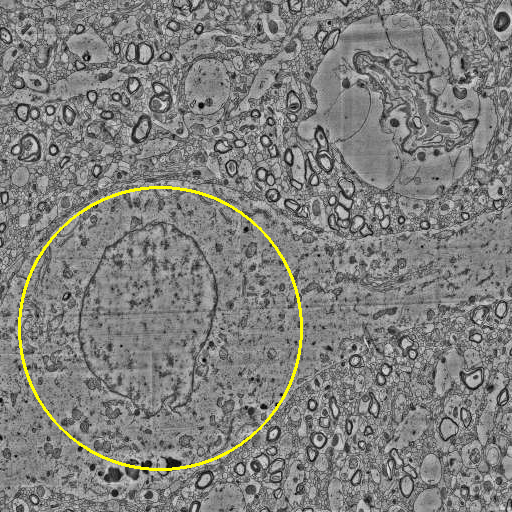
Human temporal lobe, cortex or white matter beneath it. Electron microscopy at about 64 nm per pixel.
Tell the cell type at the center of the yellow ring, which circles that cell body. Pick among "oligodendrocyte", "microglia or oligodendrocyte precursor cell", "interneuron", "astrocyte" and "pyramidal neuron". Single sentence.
The ring is centered on the body of a pyramidal neuron.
